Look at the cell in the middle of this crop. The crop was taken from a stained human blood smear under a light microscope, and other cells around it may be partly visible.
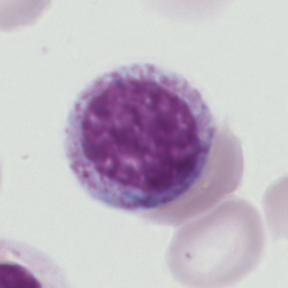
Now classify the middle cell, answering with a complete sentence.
The cell centered in this field of view is a metamyelocyte.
